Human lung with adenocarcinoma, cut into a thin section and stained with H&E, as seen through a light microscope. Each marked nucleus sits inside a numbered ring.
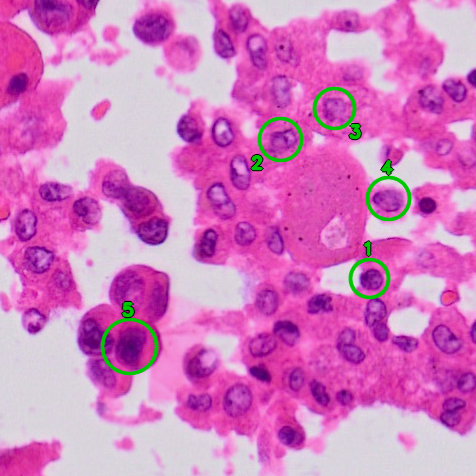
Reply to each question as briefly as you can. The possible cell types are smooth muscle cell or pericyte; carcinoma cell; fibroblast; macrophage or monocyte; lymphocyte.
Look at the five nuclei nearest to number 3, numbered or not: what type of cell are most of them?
macrophage or monocyte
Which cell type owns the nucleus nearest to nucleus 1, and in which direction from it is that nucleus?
a macrophage or monocyte, below nucleus 1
